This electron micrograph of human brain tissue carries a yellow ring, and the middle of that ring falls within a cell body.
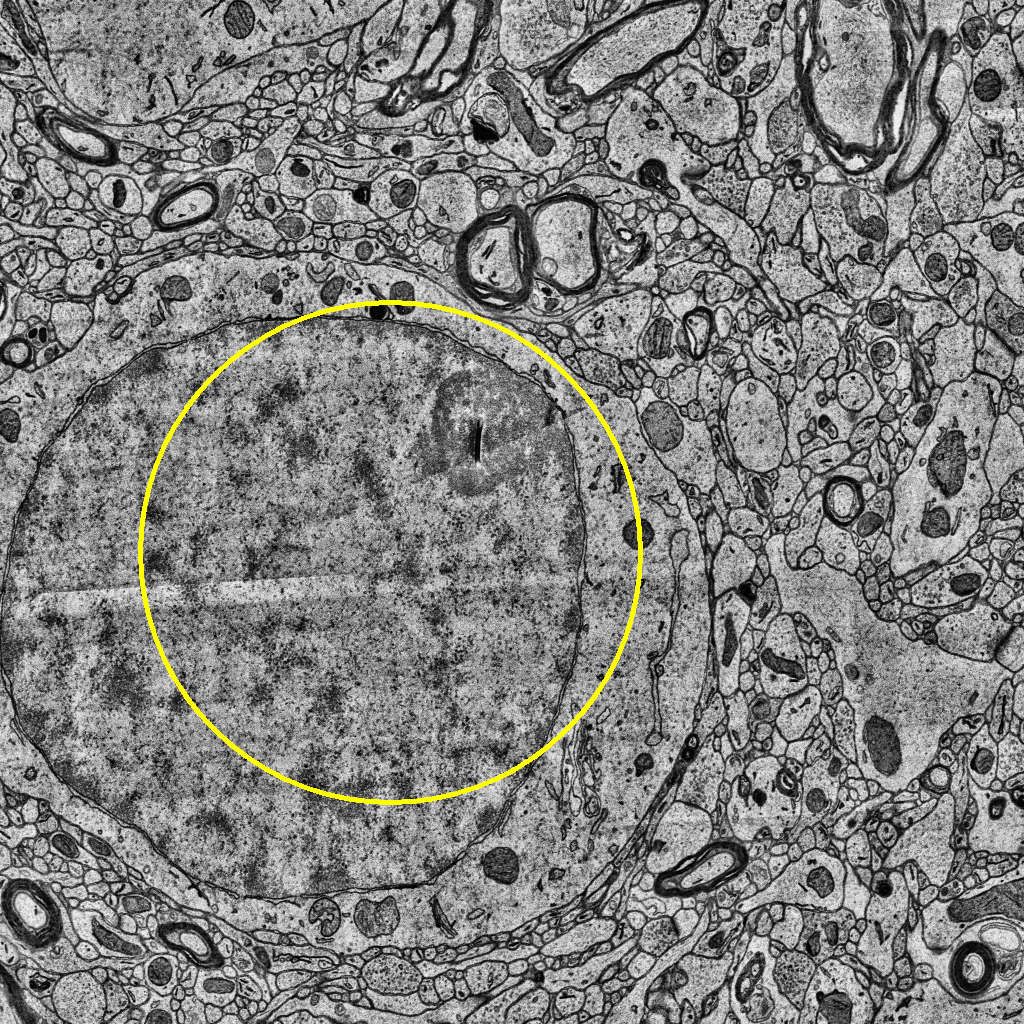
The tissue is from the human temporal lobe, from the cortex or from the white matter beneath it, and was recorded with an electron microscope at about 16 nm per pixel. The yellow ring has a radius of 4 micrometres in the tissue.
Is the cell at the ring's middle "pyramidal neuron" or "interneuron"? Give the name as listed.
interneuron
